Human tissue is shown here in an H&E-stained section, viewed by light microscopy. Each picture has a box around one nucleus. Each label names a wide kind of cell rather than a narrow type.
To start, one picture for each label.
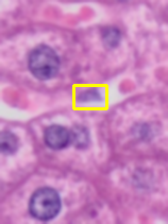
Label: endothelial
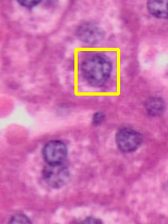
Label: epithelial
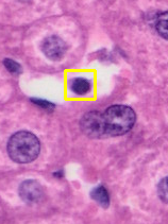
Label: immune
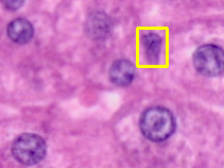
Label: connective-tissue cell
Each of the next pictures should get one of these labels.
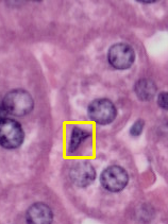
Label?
connective-tissue cell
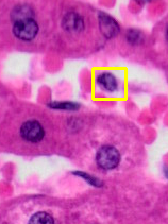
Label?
immune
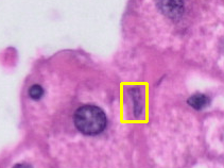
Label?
connective-tissue cell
